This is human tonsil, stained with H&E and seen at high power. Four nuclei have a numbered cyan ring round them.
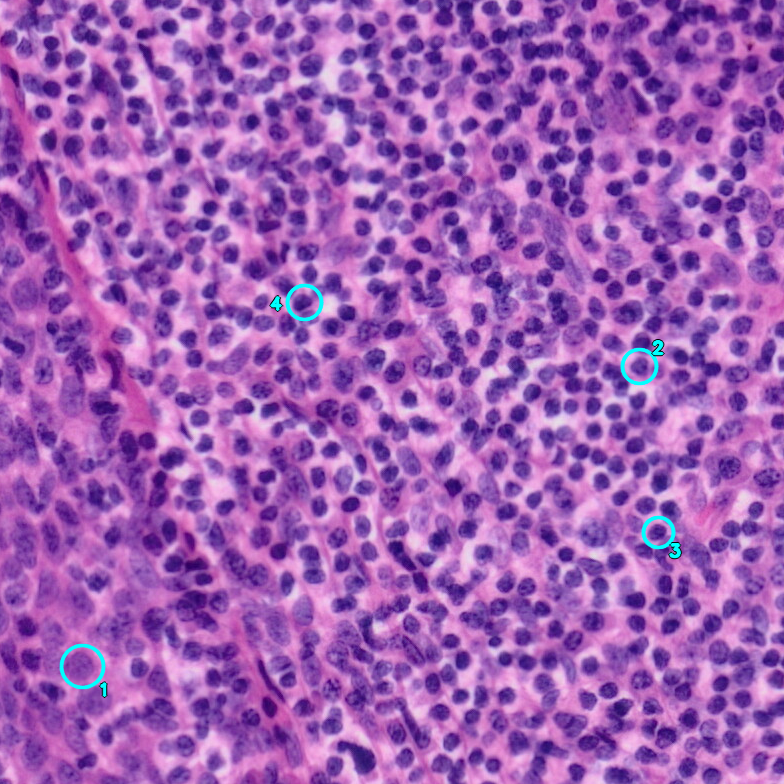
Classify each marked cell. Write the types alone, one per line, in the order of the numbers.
squamous epithelial cell
small lymphocyte
small lymphocyte
small lymphocyte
